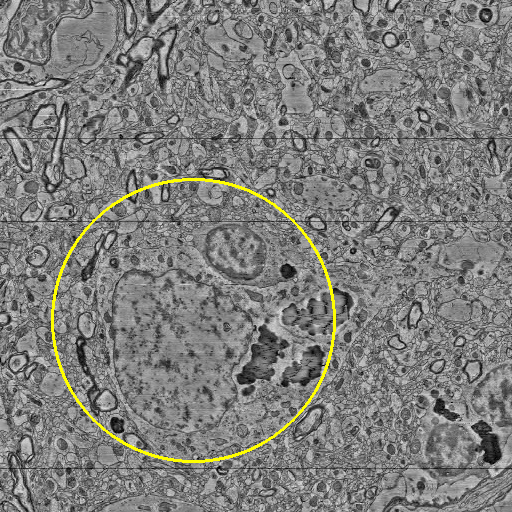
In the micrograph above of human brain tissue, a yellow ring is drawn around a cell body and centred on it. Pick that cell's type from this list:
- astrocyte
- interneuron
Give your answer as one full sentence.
Going by the list, an interneuron is the cell on which the yellow ring is centred.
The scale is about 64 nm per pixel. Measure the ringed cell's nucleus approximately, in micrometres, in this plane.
In this plane the nucleus is about 12 micrometres by 9.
